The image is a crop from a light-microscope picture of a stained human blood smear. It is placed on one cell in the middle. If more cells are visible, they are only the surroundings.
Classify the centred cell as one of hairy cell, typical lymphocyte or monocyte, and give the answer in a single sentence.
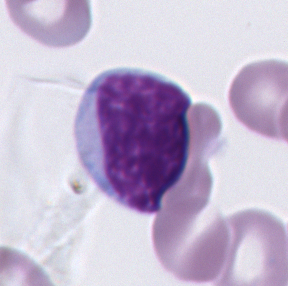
The middle of this crop is occupied by a typical lymphocyte.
